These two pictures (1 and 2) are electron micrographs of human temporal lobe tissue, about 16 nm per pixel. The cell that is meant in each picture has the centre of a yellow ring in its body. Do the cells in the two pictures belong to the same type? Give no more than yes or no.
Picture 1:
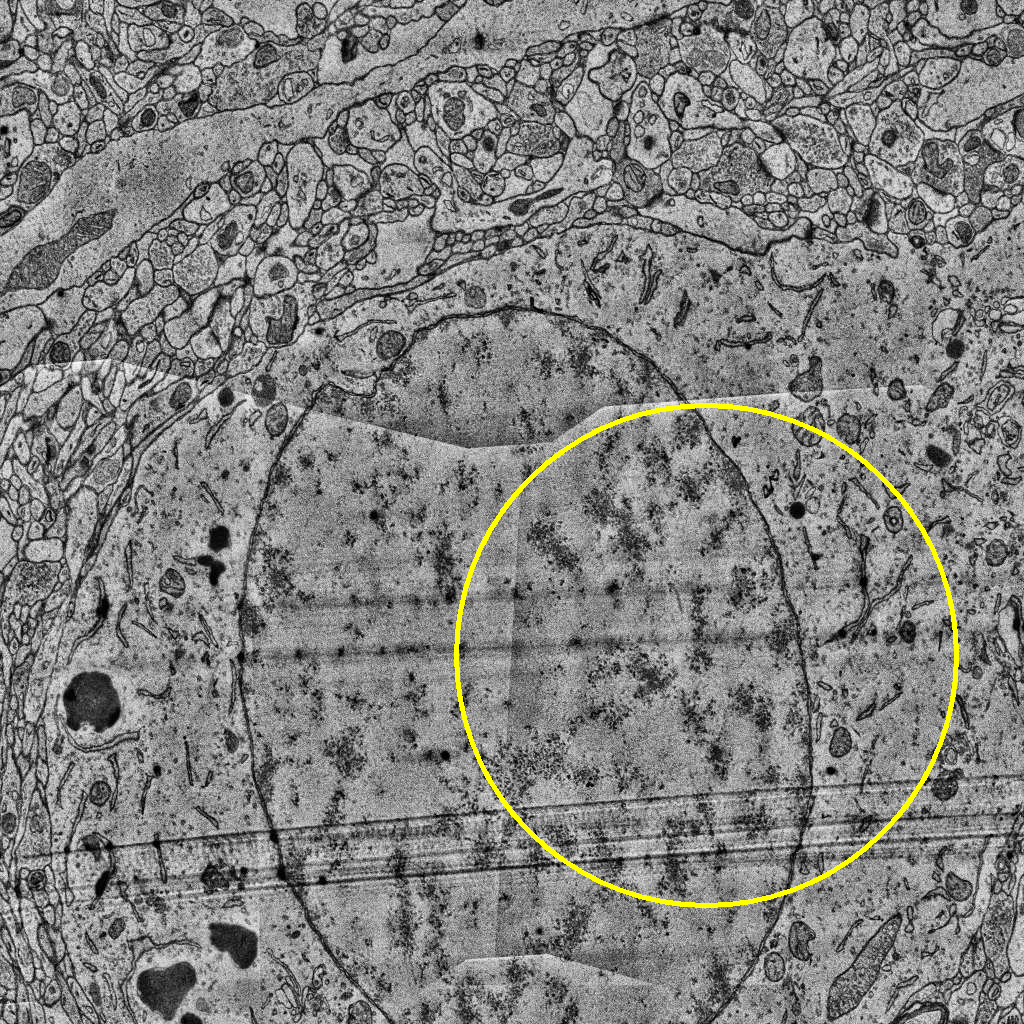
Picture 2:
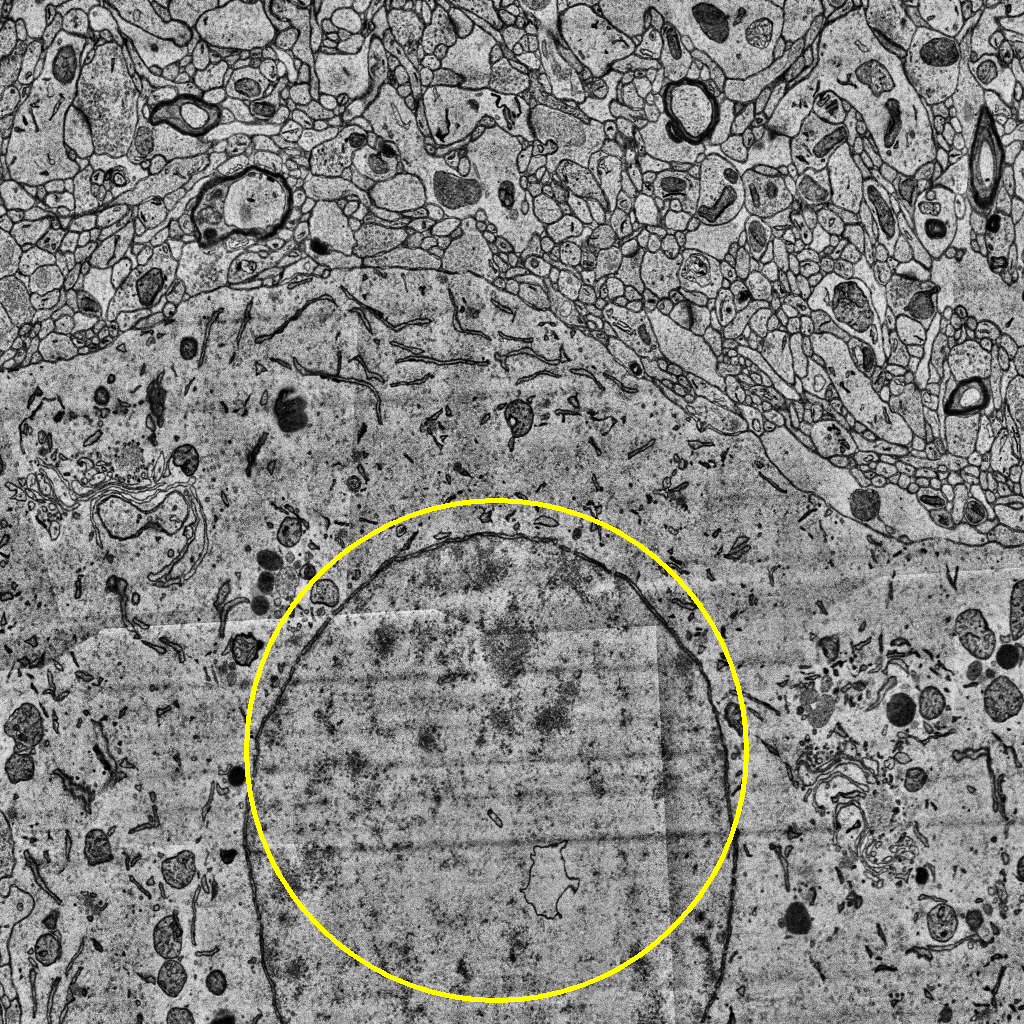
yes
